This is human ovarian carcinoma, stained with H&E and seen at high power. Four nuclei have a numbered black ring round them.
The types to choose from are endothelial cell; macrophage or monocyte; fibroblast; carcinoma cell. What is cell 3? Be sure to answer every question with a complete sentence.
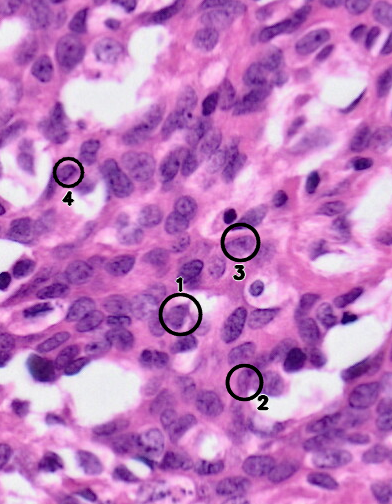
Looking at the numbered marks, cell 3 is a carcinoma cell.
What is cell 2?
Recognised here as a carcinoma cell is the cell numbered 2.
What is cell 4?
Cell 4 is classified as a macrophage or monocyte.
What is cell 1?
The cell that is numbered 1 is a carcinoma cell.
